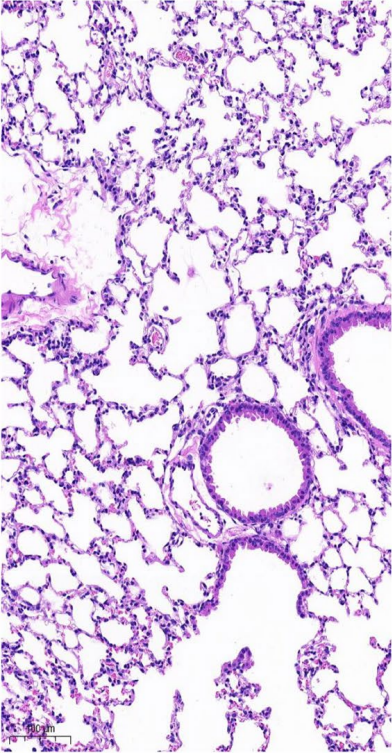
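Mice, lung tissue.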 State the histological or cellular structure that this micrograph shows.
Normal bronchial structure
